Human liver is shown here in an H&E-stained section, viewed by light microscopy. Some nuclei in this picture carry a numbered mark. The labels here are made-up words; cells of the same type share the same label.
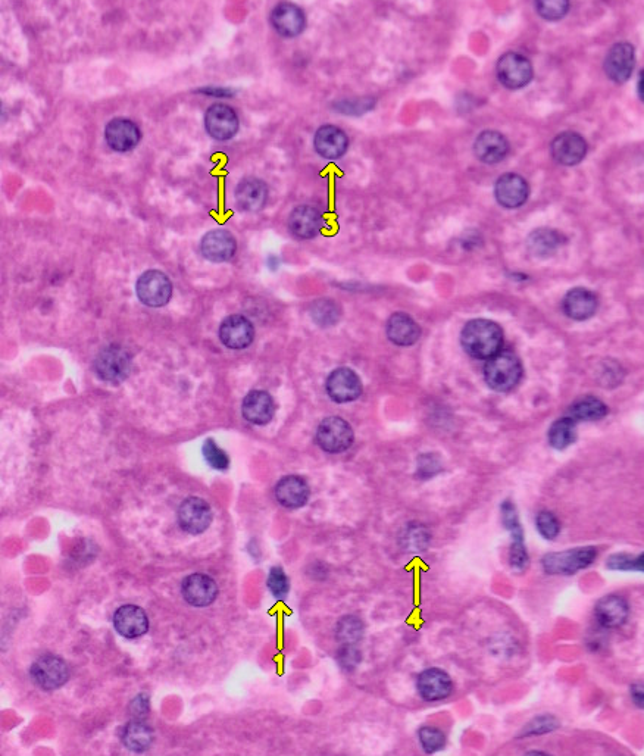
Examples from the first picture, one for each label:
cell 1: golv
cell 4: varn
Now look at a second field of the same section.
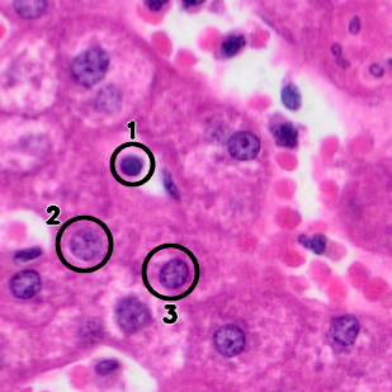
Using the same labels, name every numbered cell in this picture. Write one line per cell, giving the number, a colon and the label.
1: golv
2: varn
3: varn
